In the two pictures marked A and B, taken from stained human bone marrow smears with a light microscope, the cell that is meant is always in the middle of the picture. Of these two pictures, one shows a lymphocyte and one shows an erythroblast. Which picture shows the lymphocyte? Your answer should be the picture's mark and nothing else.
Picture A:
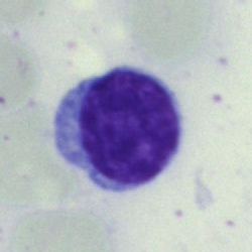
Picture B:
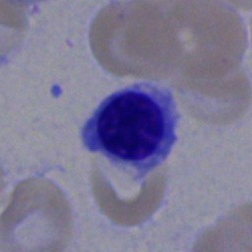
A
